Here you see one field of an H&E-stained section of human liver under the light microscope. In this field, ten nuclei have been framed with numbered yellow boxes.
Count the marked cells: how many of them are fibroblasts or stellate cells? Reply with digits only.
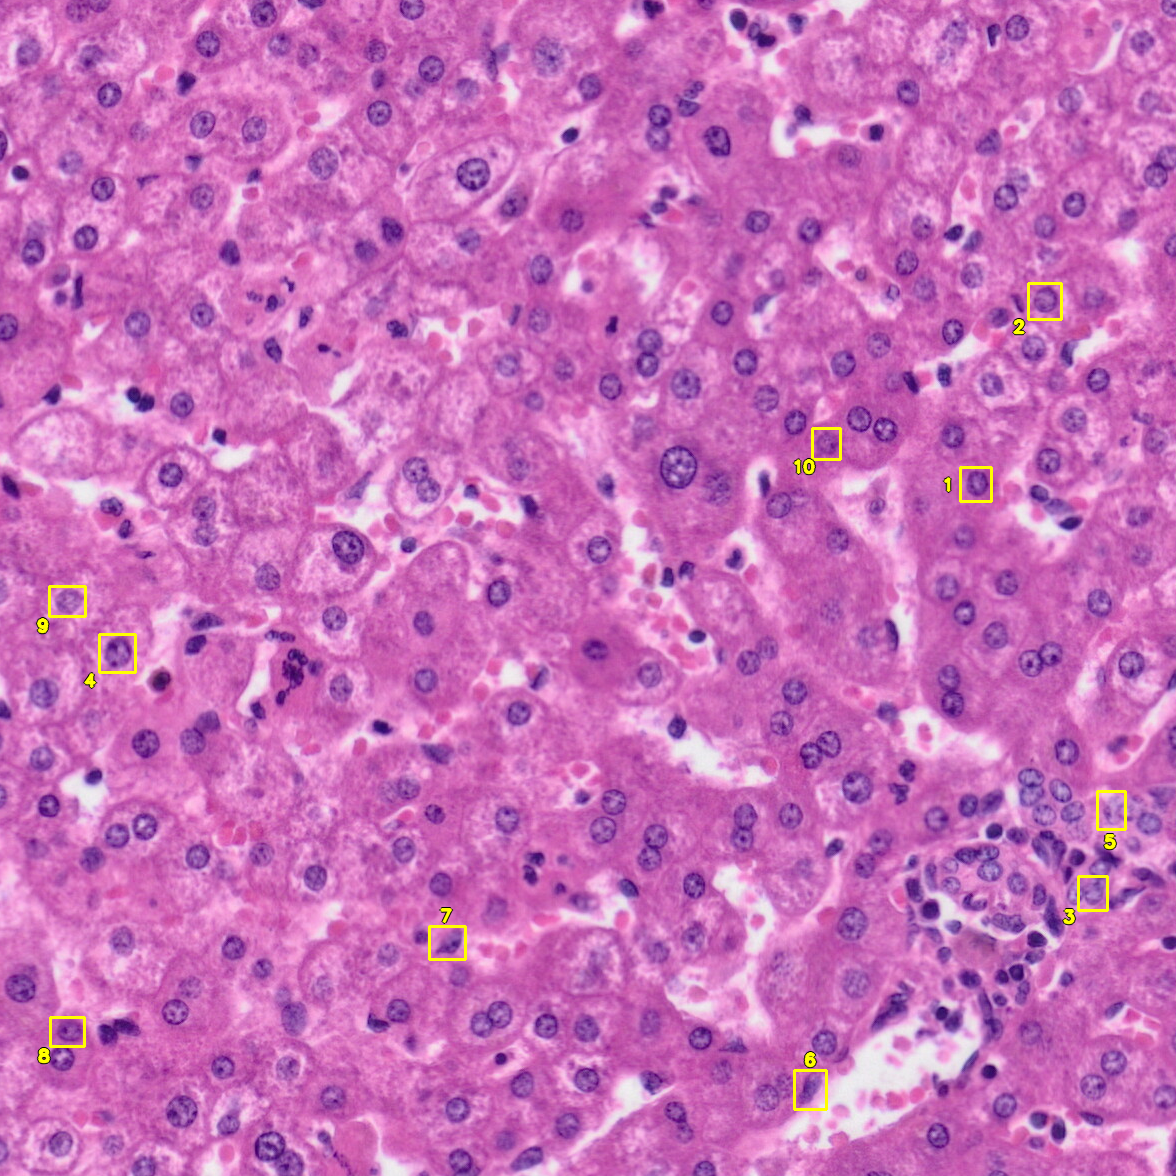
1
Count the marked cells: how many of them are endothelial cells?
1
